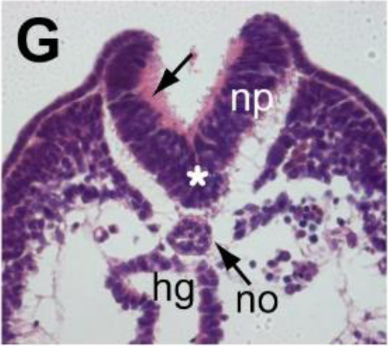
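This transverse section shows a thick neural plate of densely packed, purple-staining columnar cells raised into two neural folds that meet at a sharp midline bend. Below the bend lies a small rod-like cluster of notochord cells, and beneath it the epithelial tube of the hindgut surrounded by loose mesenchyme.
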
